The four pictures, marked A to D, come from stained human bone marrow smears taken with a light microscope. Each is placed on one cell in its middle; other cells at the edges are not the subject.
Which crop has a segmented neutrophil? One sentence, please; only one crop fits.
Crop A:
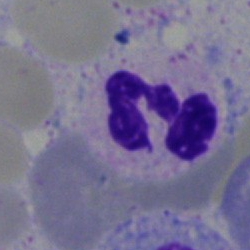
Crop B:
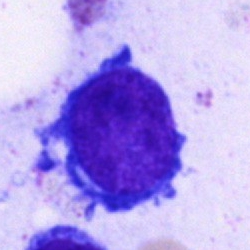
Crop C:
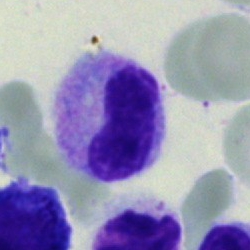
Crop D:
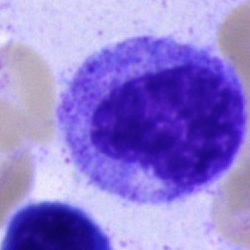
The crop with a segmented neutrophil at its center is crop A.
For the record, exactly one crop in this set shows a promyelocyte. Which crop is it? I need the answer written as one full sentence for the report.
The crop marked D is the one in which a promyelocyte is shown.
